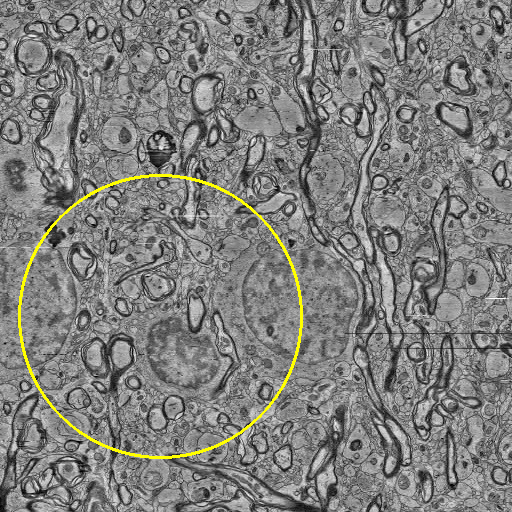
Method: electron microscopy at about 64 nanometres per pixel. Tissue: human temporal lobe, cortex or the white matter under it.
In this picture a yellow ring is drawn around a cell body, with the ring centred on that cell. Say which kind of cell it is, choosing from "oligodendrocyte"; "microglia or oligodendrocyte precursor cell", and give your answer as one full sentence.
Here it is an oligodendrocyte that sits at the centre of the drawn yellow ring.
